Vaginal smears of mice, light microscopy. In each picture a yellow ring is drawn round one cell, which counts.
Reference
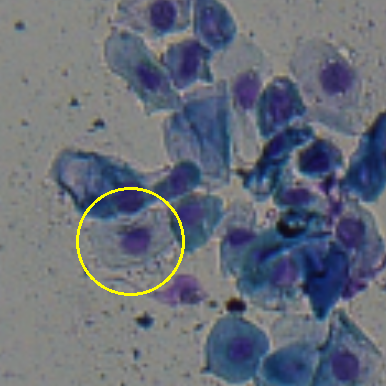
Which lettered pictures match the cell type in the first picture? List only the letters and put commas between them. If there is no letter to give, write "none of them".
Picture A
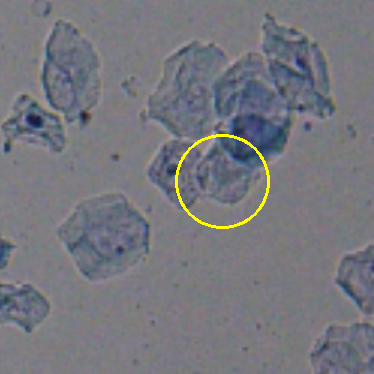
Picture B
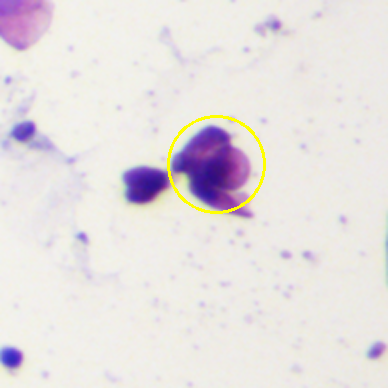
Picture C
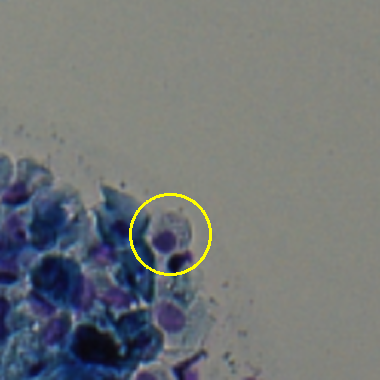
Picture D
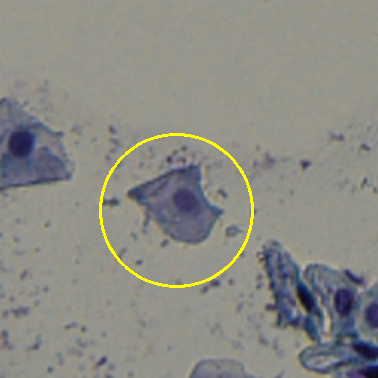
B, C, D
